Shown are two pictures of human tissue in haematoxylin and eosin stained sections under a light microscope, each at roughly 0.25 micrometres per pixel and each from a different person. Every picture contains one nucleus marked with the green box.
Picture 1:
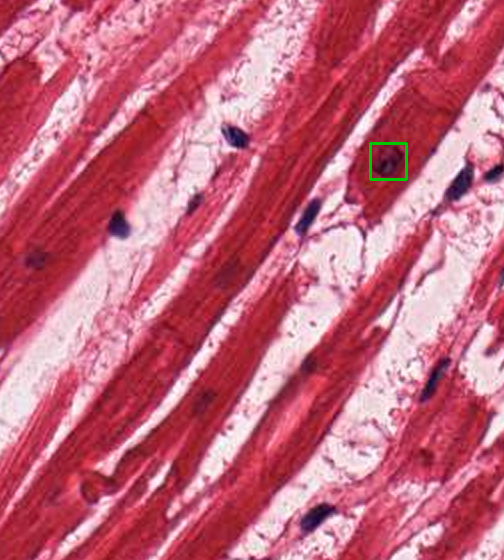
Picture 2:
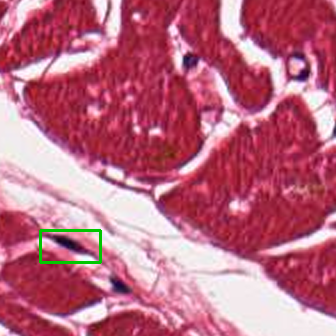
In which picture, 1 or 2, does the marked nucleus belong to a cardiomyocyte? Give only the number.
1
